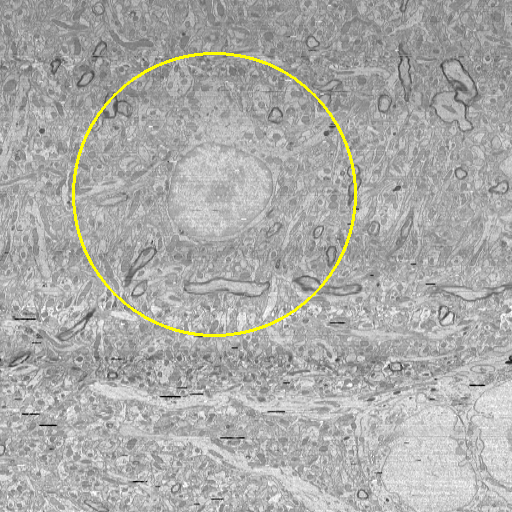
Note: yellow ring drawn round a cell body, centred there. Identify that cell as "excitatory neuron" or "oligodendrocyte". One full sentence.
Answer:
The cell in the middle of the ring is an oligodendrocyte.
